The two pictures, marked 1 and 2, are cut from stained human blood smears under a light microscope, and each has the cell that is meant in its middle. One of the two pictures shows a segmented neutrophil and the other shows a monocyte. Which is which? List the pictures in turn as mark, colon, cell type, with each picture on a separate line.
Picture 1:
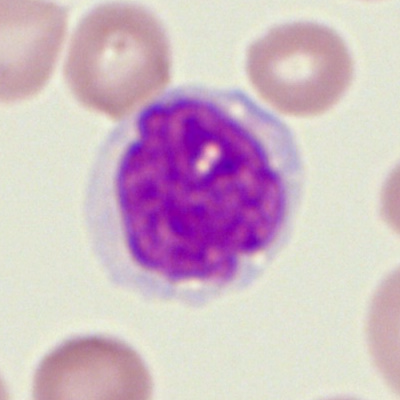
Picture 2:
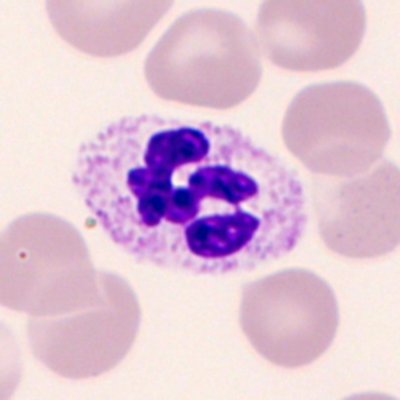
1: monocyte
2: segmented neutrophil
